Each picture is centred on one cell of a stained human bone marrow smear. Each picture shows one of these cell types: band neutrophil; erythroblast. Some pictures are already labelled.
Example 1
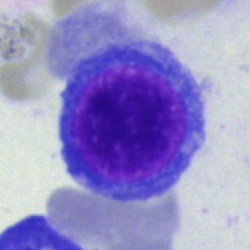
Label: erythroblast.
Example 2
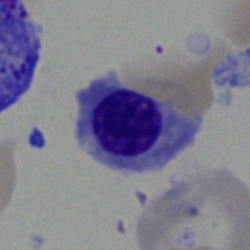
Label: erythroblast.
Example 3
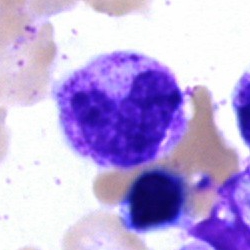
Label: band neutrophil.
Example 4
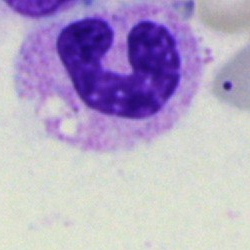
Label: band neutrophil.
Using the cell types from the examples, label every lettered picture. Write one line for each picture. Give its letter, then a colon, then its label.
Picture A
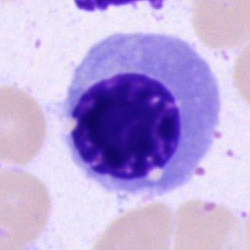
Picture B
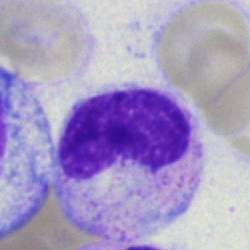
A: erythroblast.
B: band neutrophil.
